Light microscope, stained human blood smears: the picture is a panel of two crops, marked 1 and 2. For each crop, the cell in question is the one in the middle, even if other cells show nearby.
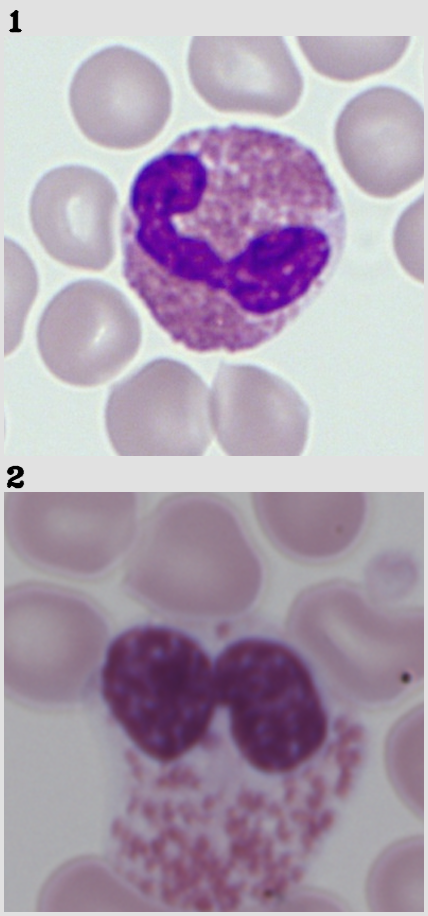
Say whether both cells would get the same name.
yes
